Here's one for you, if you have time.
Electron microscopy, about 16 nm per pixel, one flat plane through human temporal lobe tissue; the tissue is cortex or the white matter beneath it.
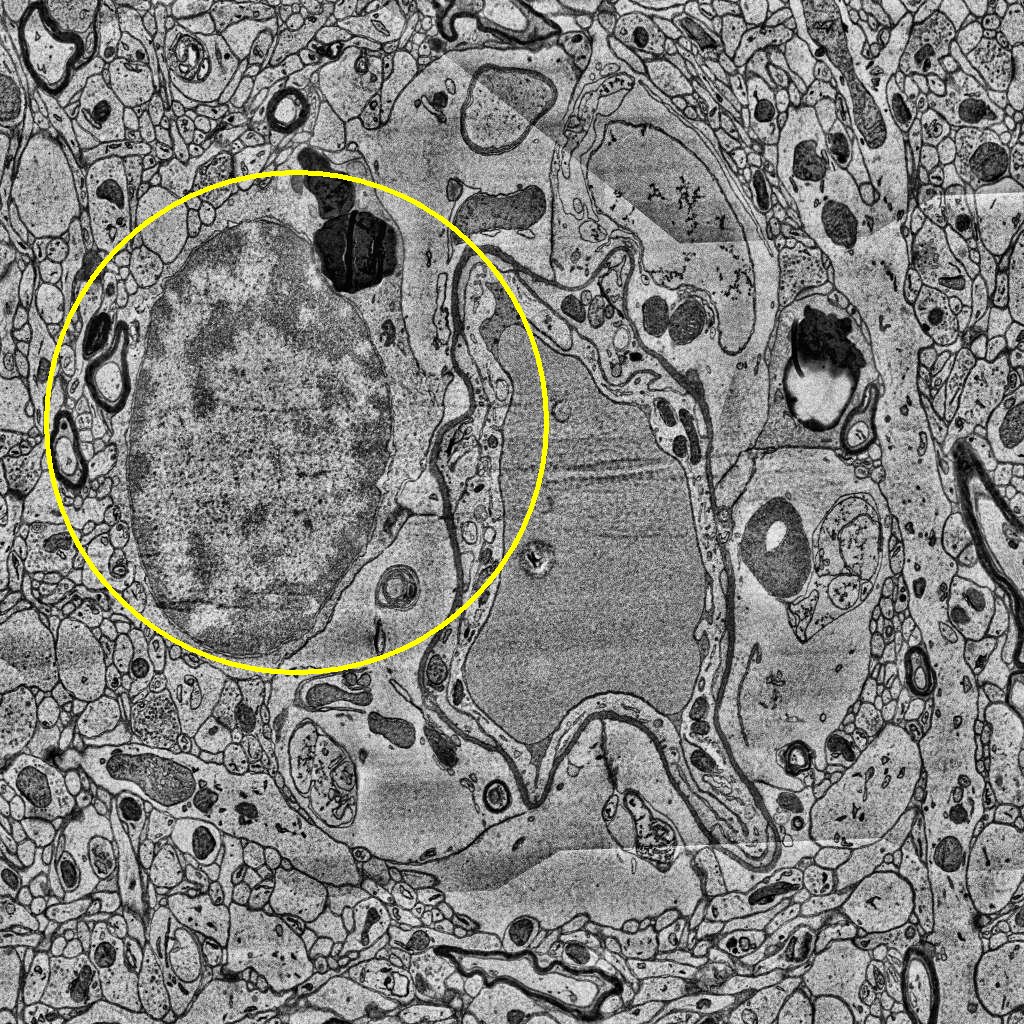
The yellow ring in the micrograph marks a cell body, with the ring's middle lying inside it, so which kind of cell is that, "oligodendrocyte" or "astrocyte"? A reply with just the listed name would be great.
oligodendrocyte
